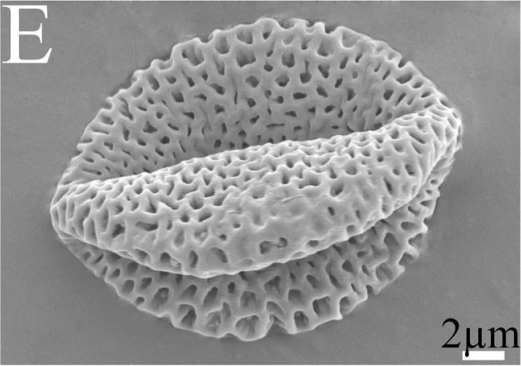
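This is a single pollen grain seen by scanning electron microscopy. It is flattened and collapsed, with one side of the wall folded deeply inward across the middle. The outer wall still bears a reticulate network of ridges with irregular lumina. The grain has lost the full, rounded shape of a well-developed pollen grain.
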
